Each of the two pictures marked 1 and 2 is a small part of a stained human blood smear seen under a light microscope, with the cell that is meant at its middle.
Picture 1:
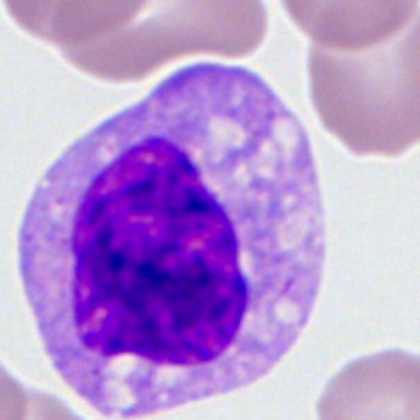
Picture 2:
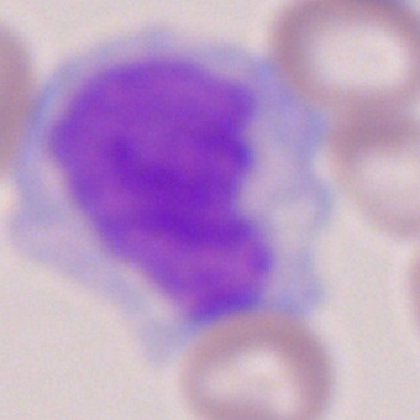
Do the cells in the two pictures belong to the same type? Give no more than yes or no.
yes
